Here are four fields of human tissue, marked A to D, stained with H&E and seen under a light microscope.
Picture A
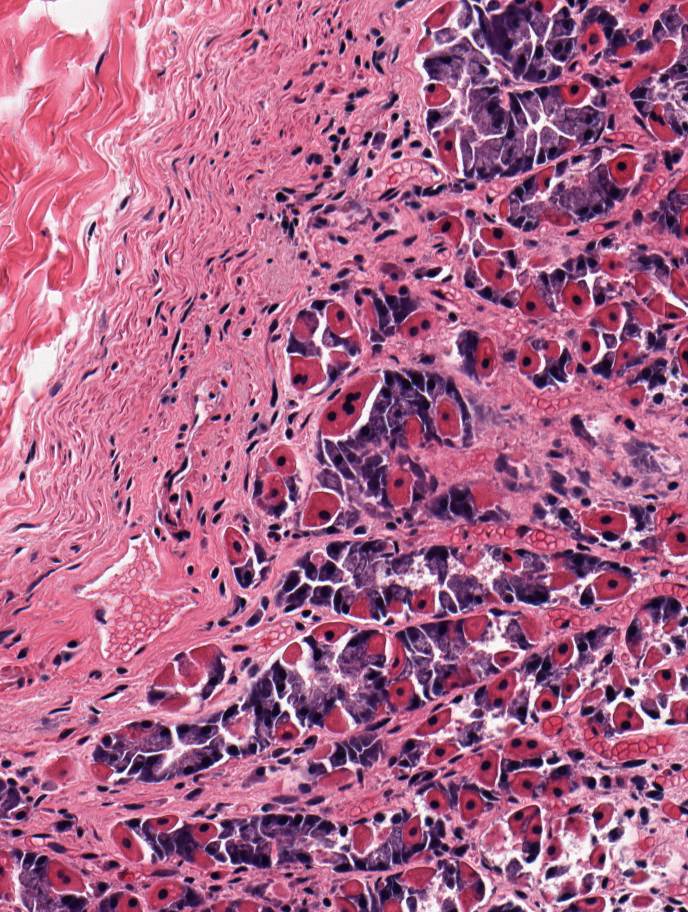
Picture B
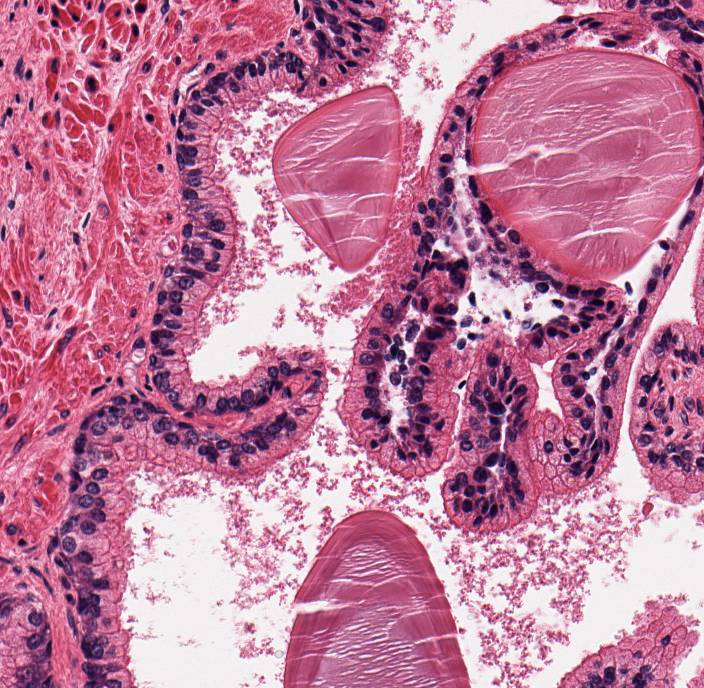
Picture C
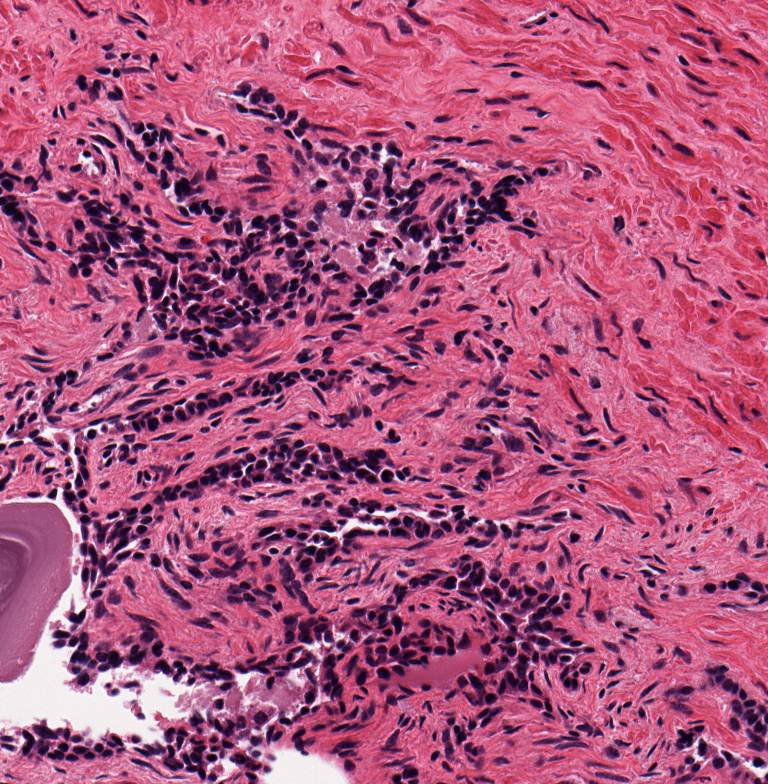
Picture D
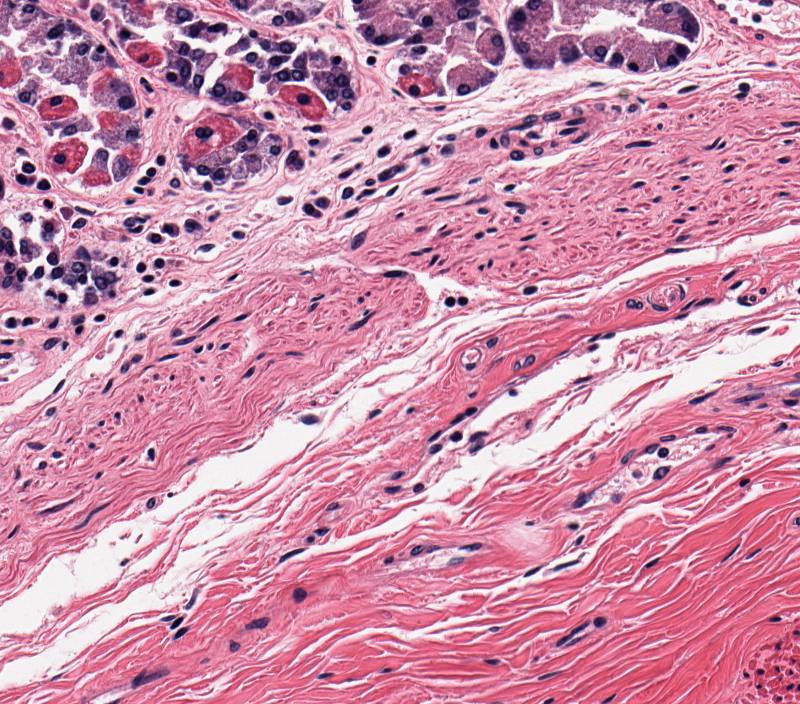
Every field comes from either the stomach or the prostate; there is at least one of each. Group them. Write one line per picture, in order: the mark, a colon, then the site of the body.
A: stomach
B: prostate
C: prostate
D: stomach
